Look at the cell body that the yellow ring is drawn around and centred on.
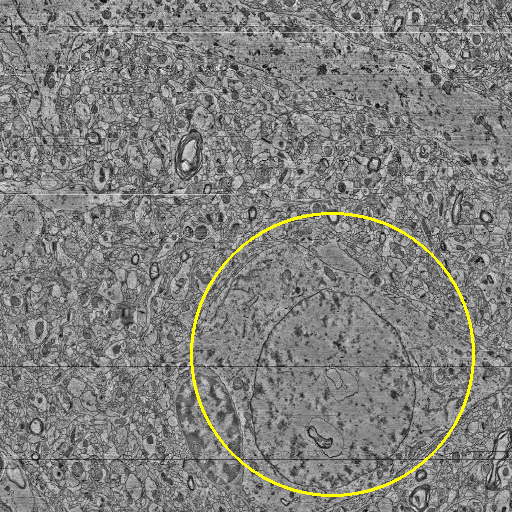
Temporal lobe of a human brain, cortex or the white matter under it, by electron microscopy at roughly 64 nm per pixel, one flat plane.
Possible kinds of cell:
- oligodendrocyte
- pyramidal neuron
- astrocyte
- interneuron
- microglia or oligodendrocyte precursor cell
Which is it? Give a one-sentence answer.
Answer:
The centred cell body is that of a pyramidal neuron.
